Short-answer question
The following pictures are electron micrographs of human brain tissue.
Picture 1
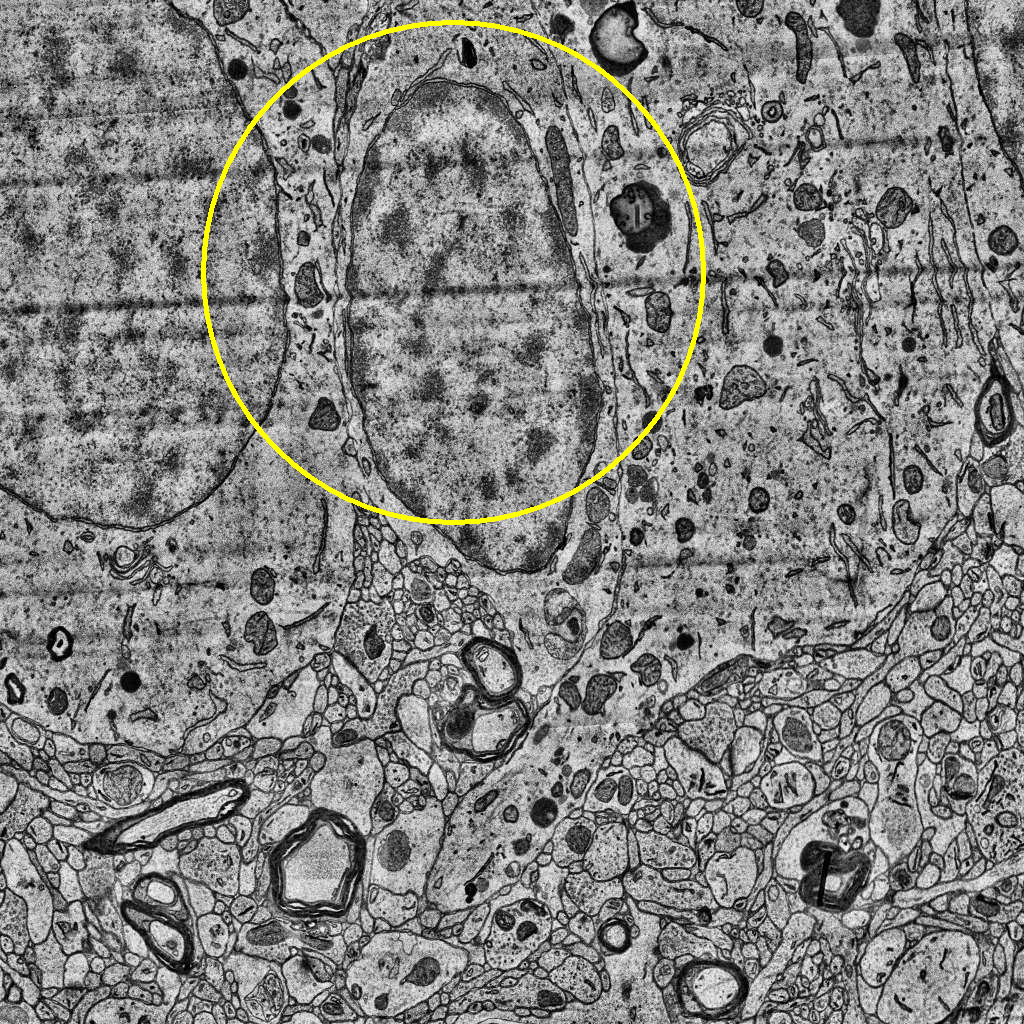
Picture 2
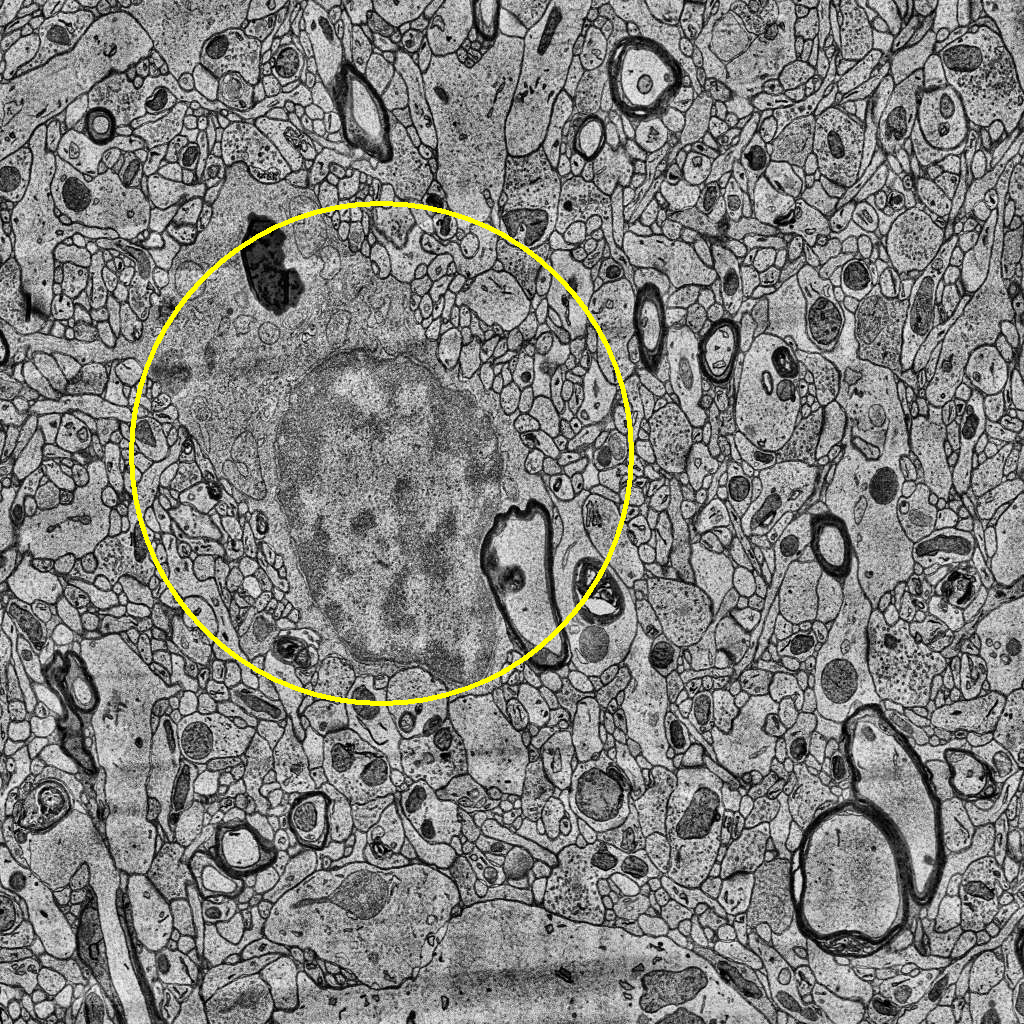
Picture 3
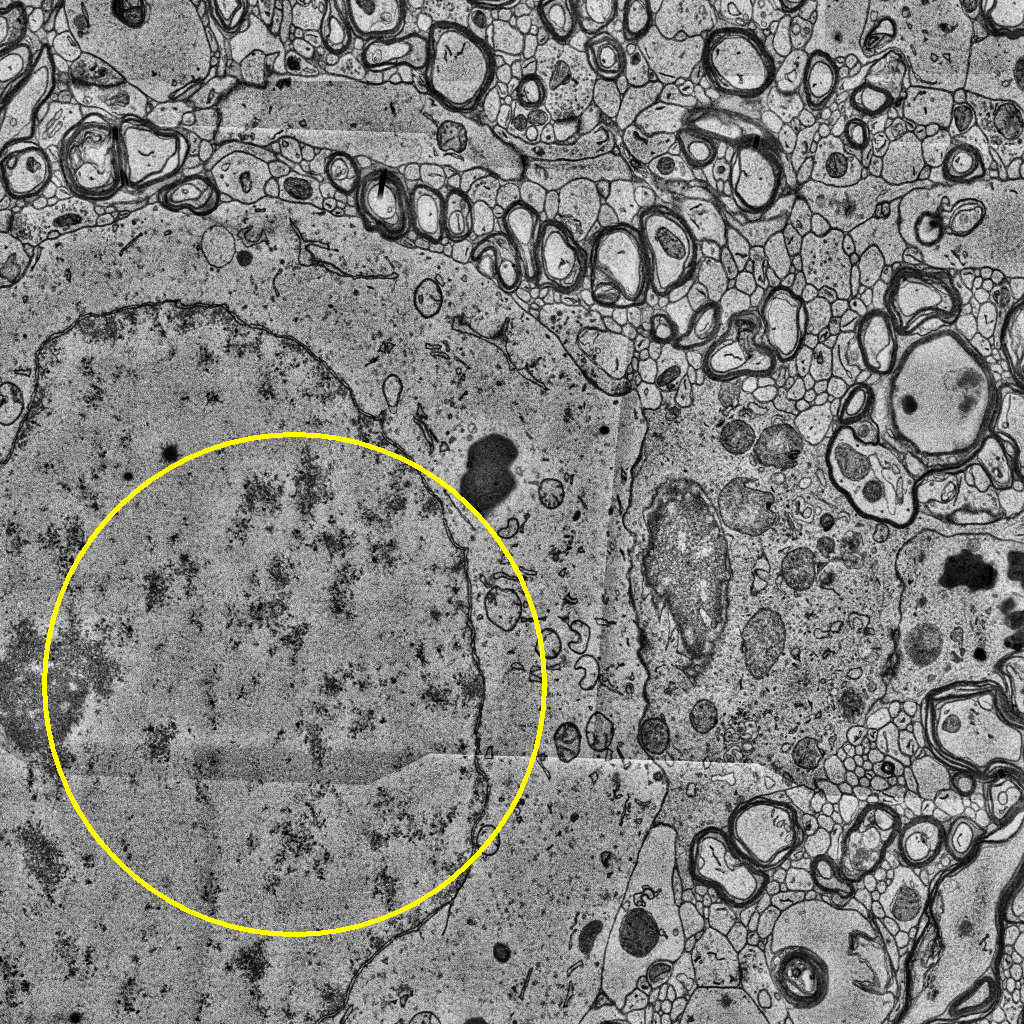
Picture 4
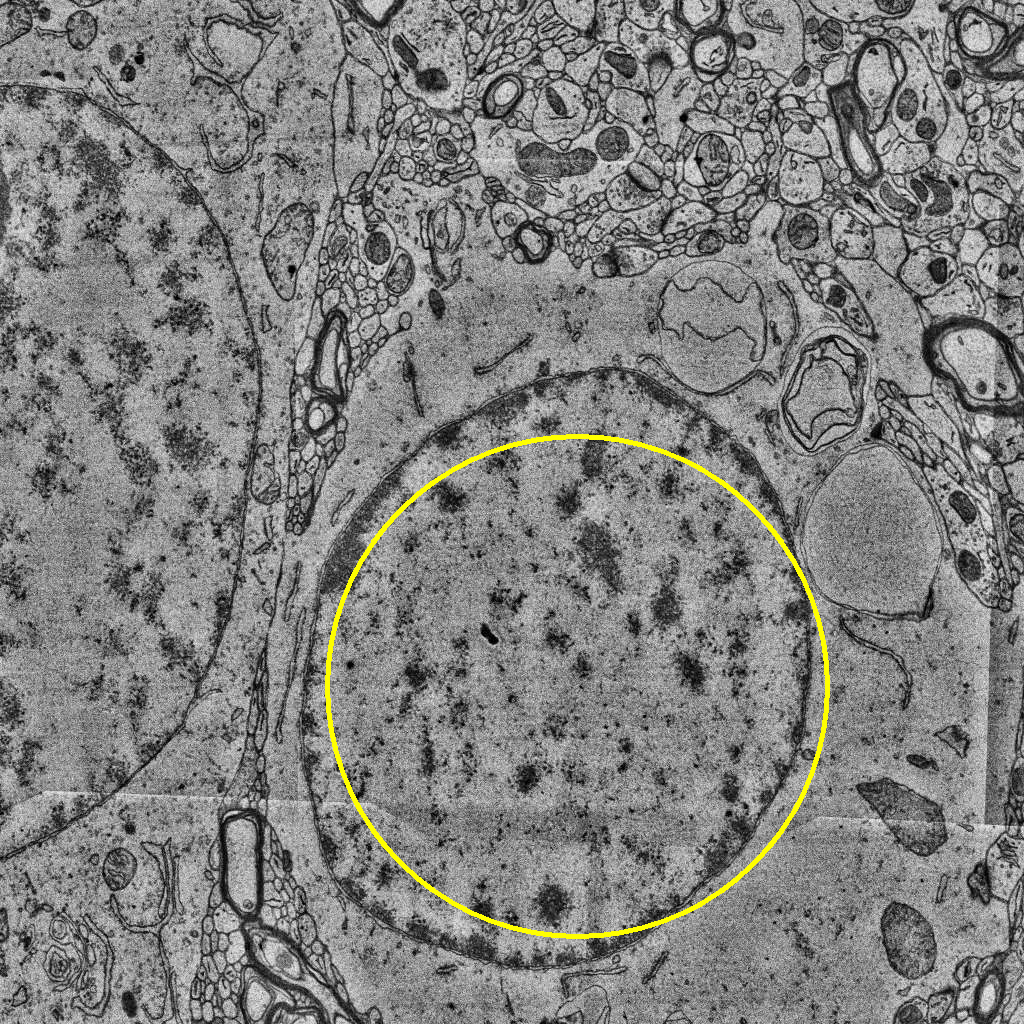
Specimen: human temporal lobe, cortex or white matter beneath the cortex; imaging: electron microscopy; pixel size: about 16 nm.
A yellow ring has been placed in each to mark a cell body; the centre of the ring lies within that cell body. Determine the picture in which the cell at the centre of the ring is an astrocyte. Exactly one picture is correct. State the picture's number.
4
